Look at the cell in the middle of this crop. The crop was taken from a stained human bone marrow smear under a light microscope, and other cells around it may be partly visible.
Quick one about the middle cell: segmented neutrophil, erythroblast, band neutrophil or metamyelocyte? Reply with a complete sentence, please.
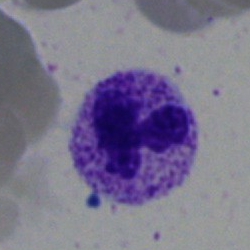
Among the cells in view, the one in the middle is a segmented neutrophil.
